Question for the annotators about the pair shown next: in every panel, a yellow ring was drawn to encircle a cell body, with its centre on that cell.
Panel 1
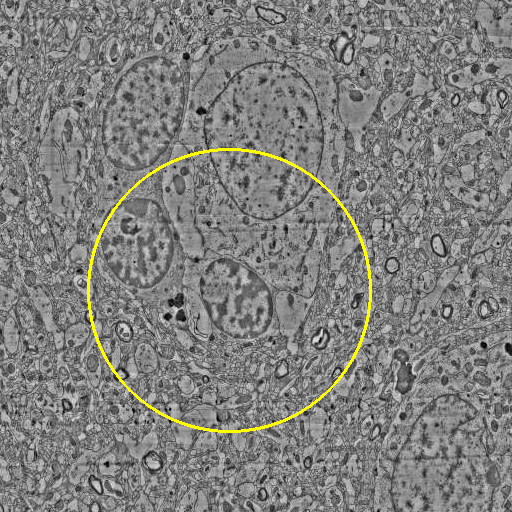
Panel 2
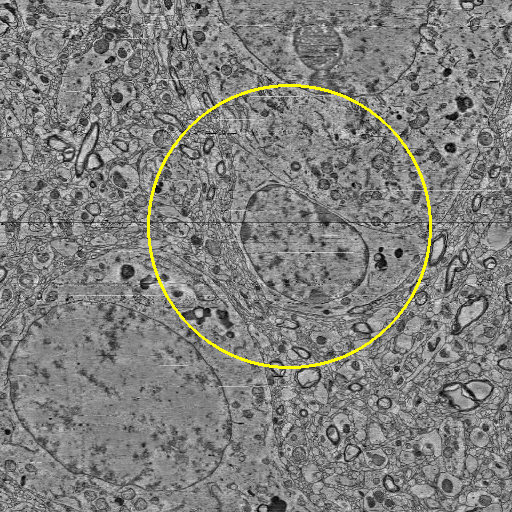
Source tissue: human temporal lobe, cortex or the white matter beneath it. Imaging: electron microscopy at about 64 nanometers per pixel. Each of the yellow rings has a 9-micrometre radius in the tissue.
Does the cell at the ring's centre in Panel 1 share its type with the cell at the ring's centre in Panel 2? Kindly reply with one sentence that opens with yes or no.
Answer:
Yes, in Panels 1 and 2 the cells at the ring centres belong to a single type.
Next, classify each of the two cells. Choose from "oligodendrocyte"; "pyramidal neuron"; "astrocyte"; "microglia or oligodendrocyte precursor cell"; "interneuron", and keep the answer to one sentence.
The cell at the ring centre is a microglial cell or oligodendrocyte precursor cell in both pictures.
